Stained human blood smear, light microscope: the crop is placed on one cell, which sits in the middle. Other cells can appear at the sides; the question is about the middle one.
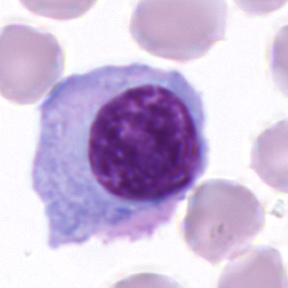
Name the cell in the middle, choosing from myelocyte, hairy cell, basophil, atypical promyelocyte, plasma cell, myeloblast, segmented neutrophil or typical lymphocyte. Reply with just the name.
plasma cell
